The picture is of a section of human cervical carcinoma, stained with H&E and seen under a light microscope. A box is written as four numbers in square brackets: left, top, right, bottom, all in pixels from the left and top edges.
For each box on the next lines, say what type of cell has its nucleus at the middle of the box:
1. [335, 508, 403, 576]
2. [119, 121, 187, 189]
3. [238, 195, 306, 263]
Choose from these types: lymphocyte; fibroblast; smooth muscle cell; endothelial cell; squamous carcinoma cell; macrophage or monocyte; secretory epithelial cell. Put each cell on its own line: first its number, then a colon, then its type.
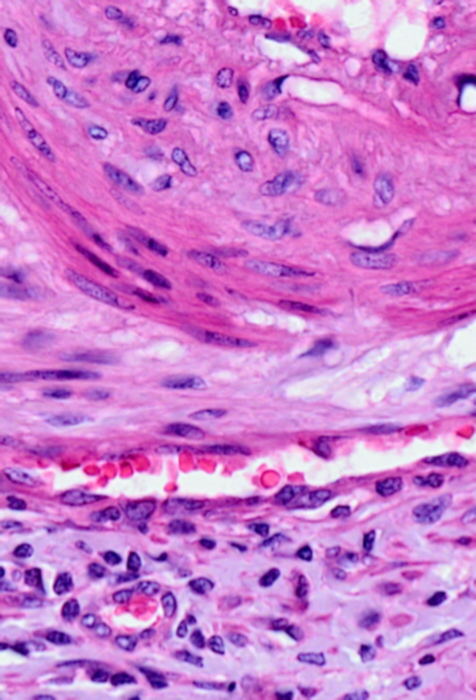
1: lymphocyte
2: smooth muscle cell
3: smooth muscle cell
